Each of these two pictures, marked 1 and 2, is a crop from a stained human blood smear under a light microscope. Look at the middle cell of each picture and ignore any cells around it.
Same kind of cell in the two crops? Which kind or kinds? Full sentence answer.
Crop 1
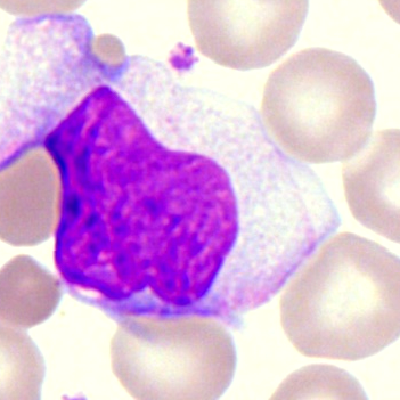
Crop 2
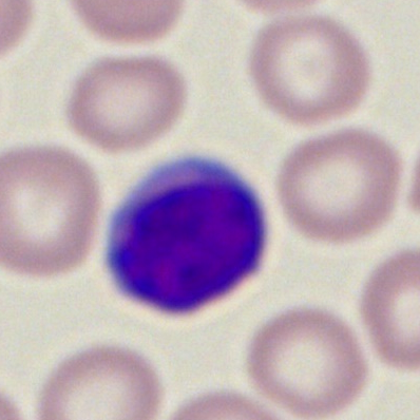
No, crop 1 has a monocyte at its center, and crop 2 has a lymphocyte.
